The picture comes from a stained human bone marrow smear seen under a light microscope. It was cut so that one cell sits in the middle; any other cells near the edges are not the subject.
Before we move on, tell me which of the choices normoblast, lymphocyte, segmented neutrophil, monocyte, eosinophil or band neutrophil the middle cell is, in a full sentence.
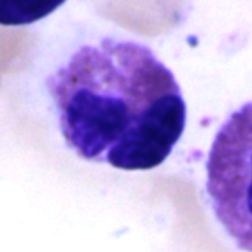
The cell nearest the centre of this crop is an eosinophil.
